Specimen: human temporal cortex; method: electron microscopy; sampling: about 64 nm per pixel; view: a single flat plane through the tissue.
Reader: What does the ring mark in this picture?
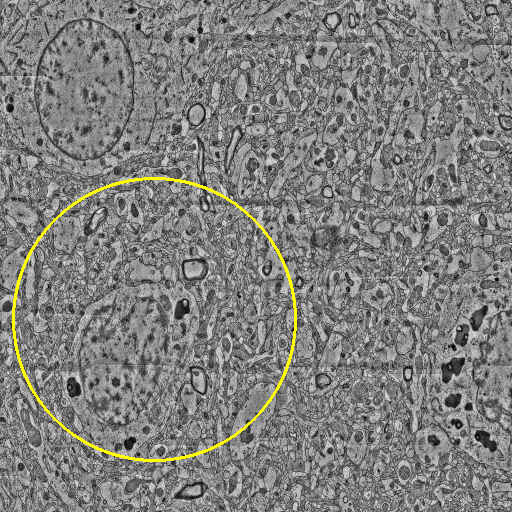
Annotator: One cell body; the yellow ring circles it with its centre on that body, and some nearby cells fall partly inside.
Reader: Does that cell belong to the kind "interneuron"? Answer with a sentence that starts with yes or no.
Yes, in this picture the ringed cell at the centre belongs to that kind.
